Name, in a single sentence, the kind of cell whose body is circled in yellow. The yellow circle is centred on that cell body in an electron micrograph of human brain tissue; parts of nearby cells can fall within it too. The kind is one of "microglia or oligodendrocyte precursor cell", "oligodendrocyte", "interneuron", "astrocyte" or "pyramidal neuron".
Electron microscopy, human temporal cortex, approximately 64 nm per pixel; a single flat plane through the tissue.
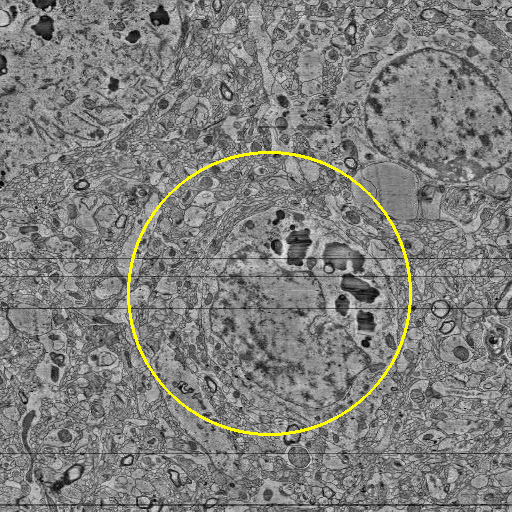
The circled cell body belongs to an interneuron.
